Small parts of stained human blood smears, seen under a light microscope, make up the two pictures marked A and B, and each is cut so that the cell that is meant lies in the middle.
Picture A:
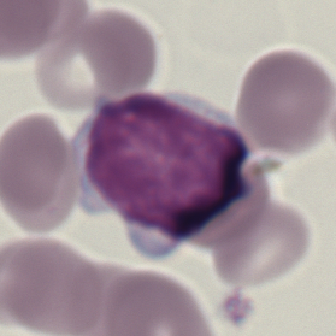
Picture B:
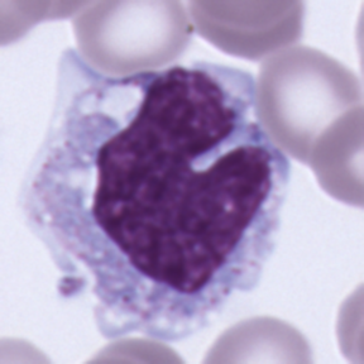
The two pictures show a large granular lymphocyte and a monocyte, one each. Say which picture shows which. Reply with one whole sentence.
In picture A the cell is a large granular lymphocyte; in picture B, a monocyte.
